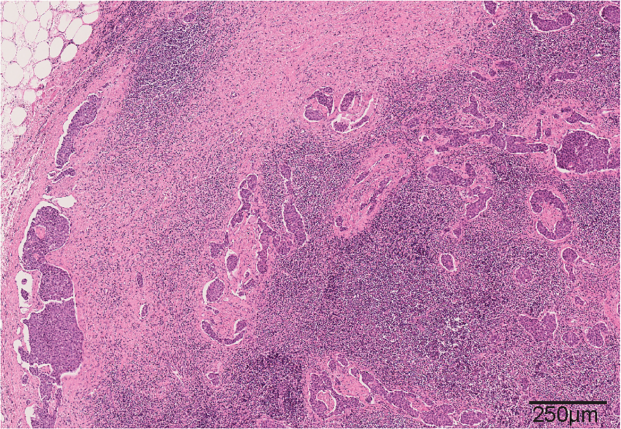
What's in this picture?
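This lymph node shows a mixture of viable tumour cells, fibrosis and residual lymphoid tissue. Irregular nests and small clusters of darkly stained tumour cells lie in clefted spaces, scattered through pink fibrous stroma and beside dense blue lymphoid areas. The normal nodal organisation is partly lost, with fibrous tissue separating the remaining lymphoid regions. Fat lies at the left edge.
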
